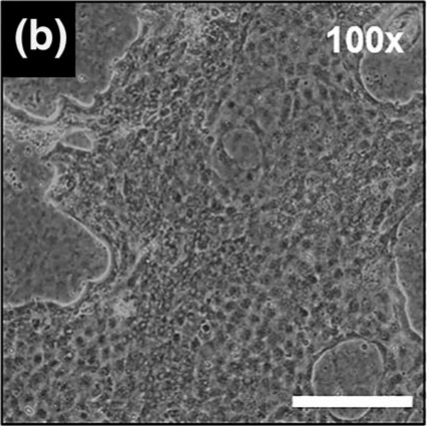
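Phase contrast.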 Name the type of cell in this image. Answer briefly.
Epithelial cells.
